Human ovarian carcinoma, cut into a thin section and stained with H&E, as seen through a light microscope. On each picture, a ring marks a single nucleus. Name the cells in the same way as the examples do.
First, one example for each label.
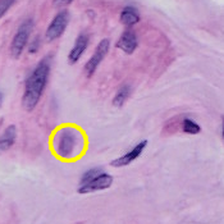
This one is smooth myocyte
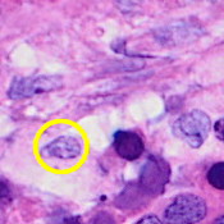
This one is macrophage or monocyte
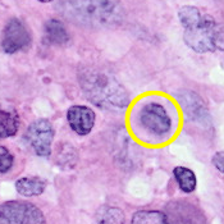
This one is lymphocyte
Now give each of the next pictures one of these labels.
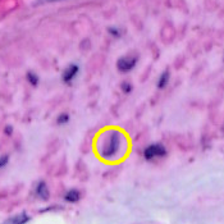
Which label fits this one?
smooth myocyte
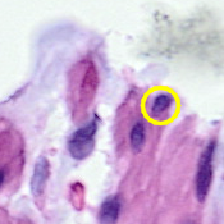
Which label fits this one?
smooth myocyte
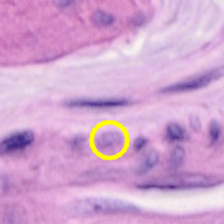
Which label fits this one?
smooth myocyte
